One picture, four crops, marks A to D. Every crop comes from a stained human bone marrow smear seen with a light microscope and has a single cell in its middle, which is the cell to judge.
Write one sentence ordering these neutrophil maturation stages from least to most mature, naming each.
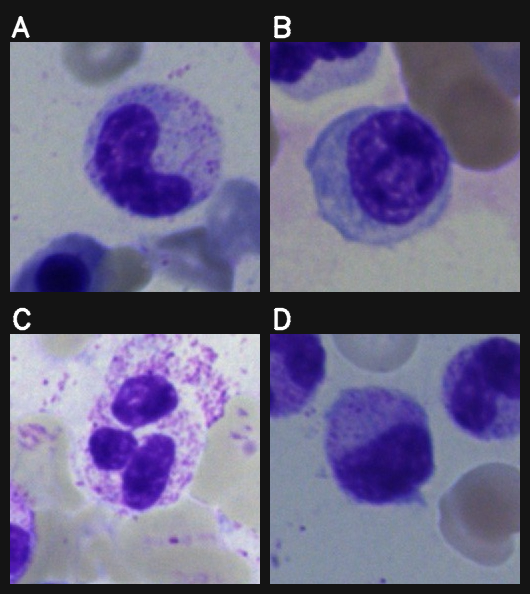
Ranked from the least mature cell to the most mature, they are crop B (a myelocyte), crop D (a metamyelocyte), crop A (a band neutrophil) and crop C (a segmented neutrophil).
